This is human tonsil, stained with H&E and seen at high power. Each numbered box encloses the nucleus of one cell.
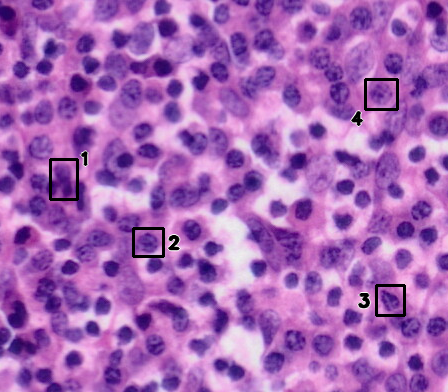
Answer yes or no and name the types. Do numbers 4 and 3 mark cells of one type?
Yes, the two cells, 4 and 3, are both plasma cells.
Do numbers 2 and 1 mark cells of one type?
No; cell 2 is a plasma cell, whereas cell 1 is a squamous epithelial cell.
